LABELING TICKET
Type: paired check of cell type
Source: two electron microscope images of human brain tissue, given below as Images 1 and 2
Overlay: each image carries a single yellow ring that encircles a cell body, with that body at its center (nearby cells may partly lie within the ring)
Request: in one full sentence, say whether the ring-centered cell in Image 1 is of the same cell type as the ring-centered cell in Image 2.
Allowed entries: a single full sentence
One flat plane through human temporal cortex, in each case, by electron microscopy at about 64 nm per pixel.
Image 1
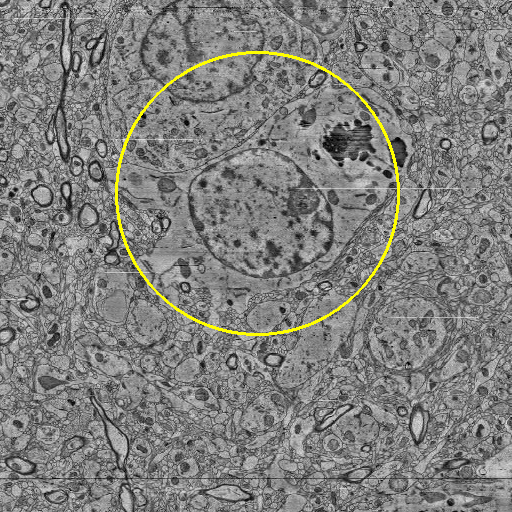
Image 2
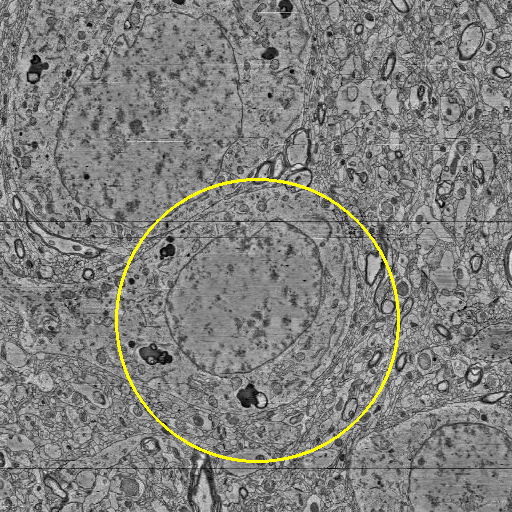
No, the cells centered in the rings of Image 1 and Image 2 are of two types.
